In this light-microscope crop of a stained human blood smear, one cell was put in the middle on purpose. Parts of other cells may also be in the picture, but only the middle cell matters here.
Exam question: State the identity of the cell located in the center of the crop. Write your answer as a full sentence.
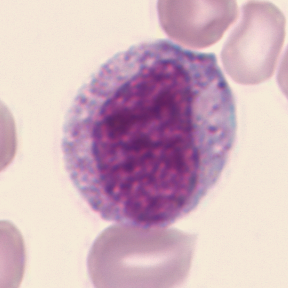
The central cell shown in this smear crop is a myelocyte.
